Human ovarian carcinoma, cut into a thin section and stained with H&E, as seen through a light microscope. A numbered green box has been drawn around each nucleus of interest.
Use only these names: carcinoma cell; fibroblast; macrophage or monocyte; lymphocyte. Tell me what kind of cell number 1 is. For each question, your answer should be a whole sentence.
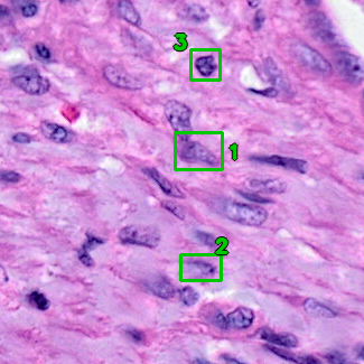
What the number 1 marks in this field is a fibroblast.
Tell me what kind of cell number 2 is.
The cell identified by number 2 is a fibroblast.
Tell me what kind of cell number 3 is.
The cell pointed out by number 3 is a lymphocyte.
